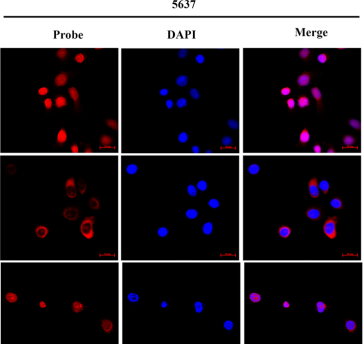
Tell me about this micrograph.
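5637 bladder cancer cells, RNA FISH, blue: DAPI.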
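These are cultured cells seen by fluorescence, each with a round to oval blue nucleus. In the top and bottom rows the red label lies in compact round shapes that coincide with the blue nuclei, so the merged images show pink-purple nuclei. In the middle row the red fills a ring of cytoplasm around nuclei that stay blue in the merged image.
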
